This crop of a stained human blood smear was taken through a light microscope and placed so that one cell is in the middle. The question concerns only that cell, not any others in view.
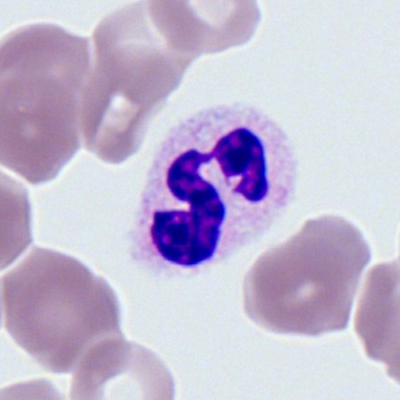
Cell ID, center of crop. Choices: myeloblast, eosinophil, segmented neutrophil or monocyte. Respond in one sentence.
To answer, the cell in the center of the crop is a segmented neutrophil.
